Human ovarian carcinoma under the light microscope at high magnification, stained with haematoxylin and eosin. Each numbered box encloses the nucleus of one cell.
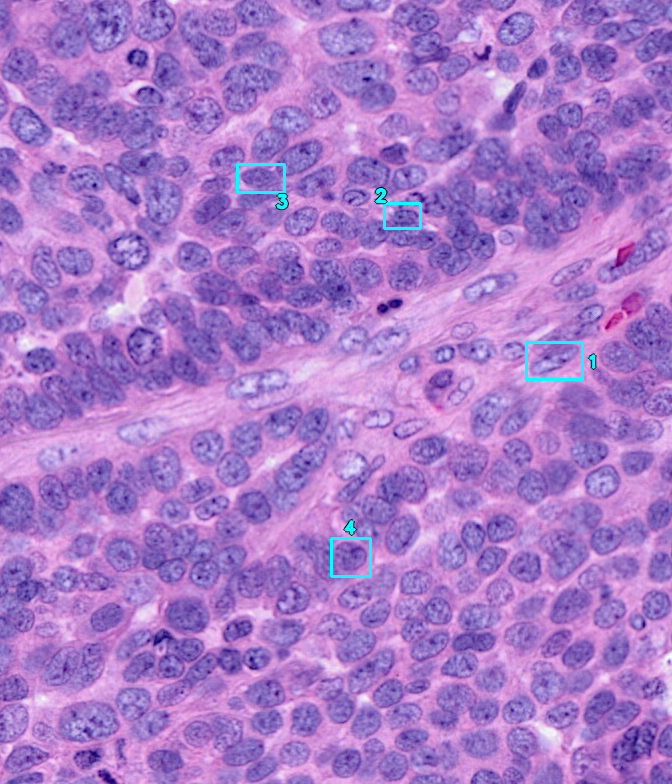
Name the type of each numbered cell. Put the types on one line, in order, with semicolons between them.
fibroblast; carcinoma cell; carcinoma cell; carcinoma cell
